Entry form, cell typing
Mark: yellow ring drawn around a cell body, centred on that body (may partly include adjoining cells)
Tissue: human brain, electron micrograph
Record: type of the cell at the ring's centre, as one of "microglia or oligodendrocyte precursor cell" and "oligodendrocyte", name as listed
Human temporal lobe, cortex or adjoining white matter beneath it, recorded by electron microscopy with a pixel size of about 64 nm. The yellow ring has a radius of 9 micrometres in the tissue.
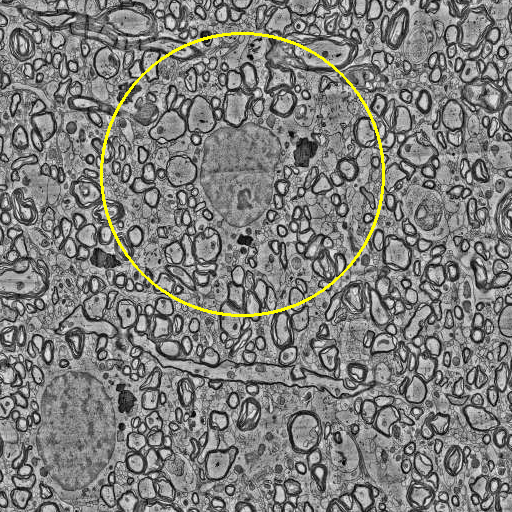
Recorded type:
oligodendrocyte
